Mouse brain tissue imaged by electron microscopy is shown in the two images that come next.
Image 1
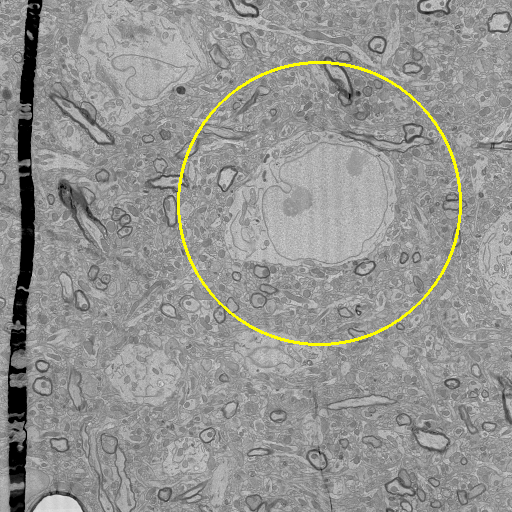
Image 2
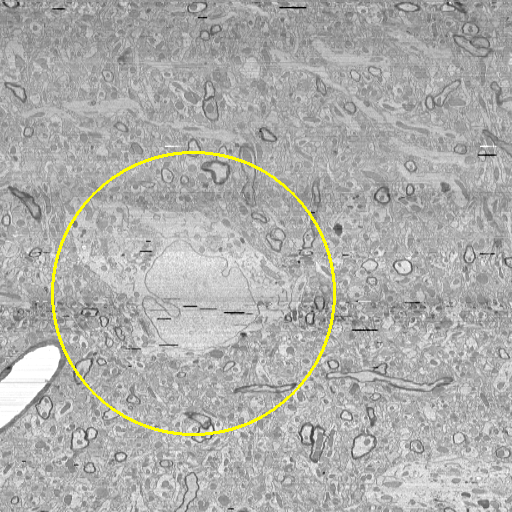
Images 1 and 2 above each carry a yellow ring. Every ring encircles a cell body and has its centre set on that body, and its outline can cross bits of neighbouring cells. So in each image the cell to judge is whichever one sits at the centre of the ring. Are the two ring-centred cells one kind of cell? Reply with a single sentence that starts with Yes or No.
Yes, in Image 1 and Image 2 the cells at the centres of their rings fall into one type.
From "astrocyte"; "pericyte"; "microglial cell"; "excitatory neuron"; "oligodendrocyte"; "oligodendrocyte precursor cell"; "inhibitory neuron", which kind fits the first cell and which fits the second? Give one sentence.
Each one of the two ringed cells is an excitatory neuron.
